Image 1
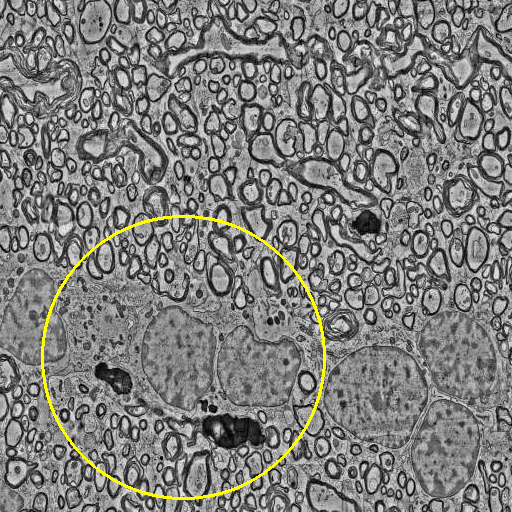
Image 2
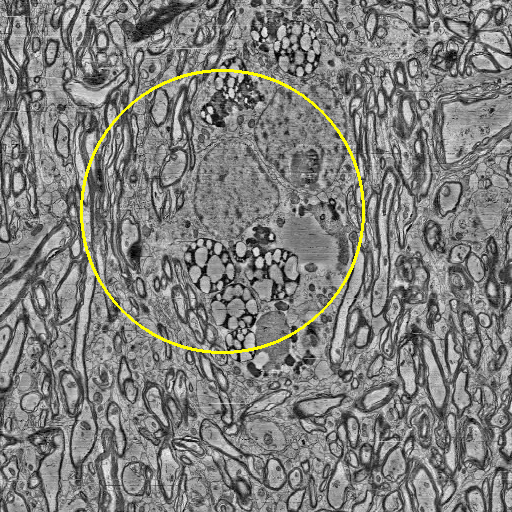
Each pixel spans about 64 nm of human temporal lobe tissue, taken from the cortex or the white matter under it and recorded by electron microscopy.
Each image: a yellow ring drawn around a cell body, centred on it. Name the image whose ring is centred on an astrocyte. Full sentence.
That is Image 2.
